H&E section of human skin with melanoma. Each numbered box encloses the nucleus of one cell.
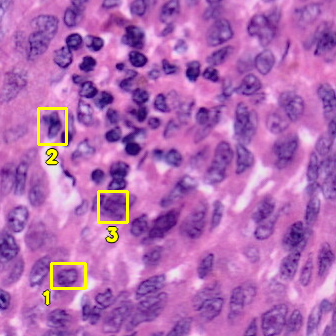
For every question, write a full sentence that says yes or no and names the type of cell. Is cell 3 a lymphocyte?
No, the cell indicated by 3 is a melanoma cell instead of a lymphocyte.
